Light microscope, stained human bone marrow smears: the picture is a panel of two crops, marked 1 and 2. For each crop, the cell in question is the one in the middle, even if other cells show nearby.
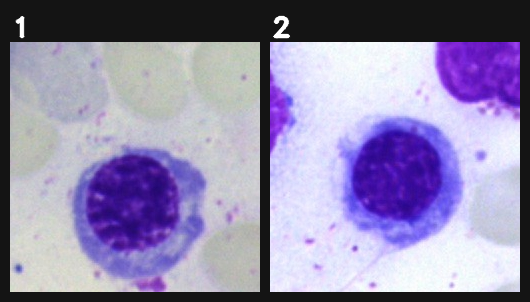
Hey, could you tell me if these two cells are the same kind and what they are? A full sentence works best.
Yes, in both of the crops, the central cells are erythroblasts.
